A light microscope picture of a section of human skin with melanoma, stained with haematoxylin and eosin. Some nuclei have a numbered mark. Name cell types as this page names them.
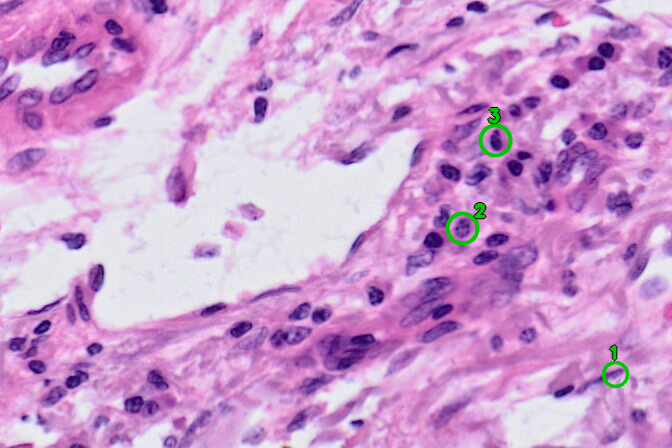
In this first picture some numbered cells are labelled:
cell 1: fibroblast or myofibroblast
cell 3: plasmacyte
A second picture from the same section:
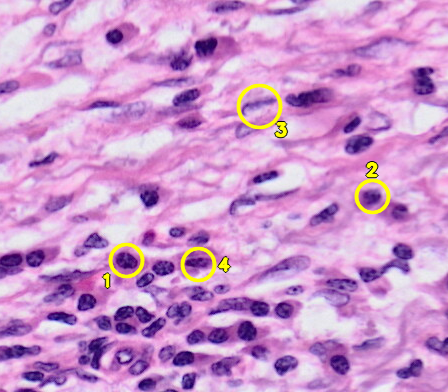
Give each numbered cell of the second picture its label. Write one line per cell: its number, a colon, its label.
1: plasmacyte
2: plasmacyte
3: fibroblast or myofibroblast
4: plasmacyte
